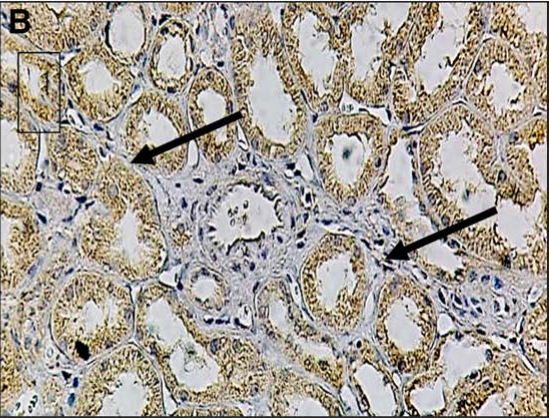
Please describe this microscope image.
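These are cross-sectioned kidney tubules packed closely together, each lined by a single layer of epithelial cells around an open lumen. The lining cells have brown, granular cytoplasm with blue nuclei. The tissue between the tubules, with its scattered blue nuclei, stays unstained.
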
